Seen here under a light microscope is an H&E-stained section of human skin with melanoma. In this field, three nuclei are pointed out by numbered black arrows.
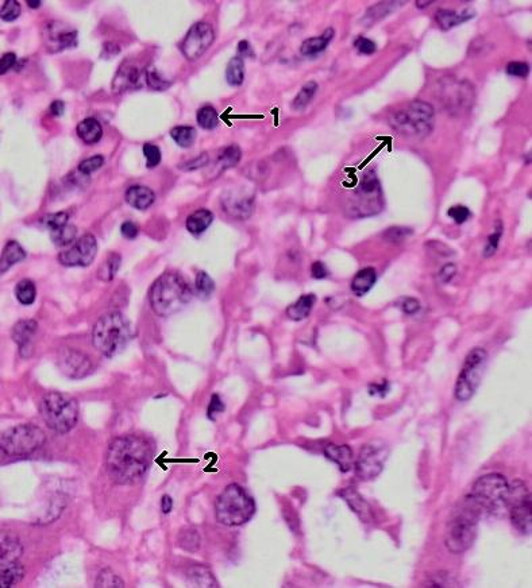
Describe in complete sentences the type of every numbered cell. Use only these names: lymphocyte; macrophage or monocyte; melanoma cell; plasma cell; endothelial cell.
Cell 1 is a lymphocyte, cell 2 is a melanoma cell and cell 3 is a melanoma cell.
